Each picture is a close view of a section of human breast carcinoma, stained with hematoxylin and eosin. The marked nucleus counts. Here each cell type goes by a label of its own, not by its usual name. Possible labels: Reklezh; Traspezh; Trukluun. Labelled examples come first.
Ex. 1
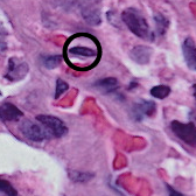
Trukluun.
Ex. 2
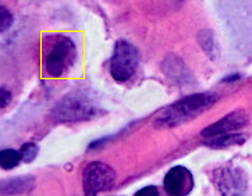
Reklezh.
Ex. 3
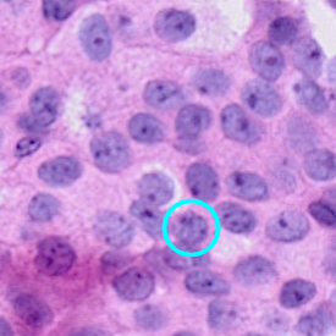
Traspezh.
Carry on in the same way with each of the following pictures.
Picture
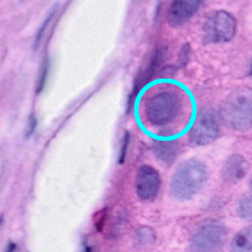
Traspezh.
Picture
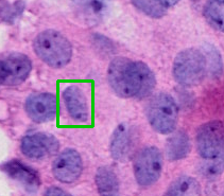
Traspezh.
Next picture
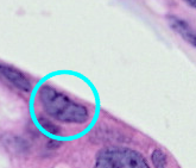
Traspezh.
